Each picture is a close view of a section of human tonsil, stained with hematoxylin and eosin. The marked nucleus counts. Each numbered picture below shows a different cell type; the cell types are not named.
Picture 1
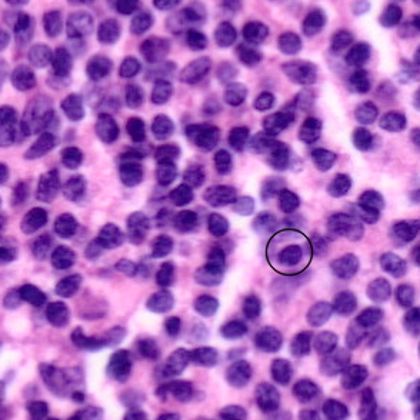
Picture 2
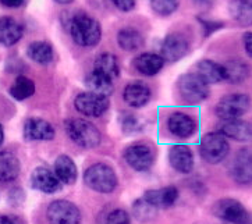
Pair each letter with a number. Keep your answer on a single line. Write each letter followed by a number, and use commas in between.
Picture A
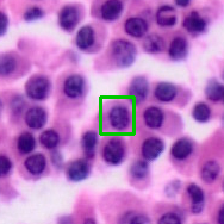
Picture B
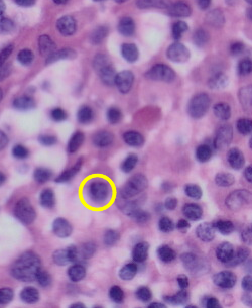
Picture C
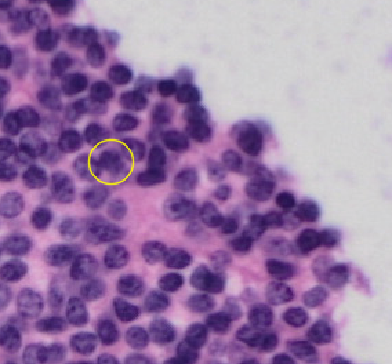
A 2, B 2, C 1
